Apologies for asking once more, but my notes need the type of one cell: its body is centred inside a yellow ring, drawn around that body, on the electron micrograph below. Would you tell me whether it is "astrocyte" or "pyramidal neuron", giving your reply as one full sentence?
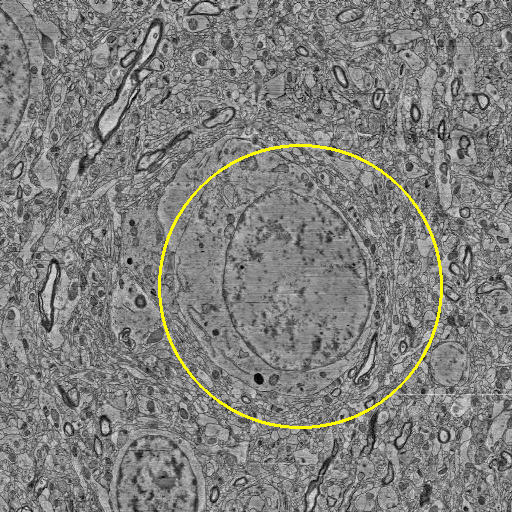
The cell that the yellow ring is centred on is a pyramidal neuron in this micrograph.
